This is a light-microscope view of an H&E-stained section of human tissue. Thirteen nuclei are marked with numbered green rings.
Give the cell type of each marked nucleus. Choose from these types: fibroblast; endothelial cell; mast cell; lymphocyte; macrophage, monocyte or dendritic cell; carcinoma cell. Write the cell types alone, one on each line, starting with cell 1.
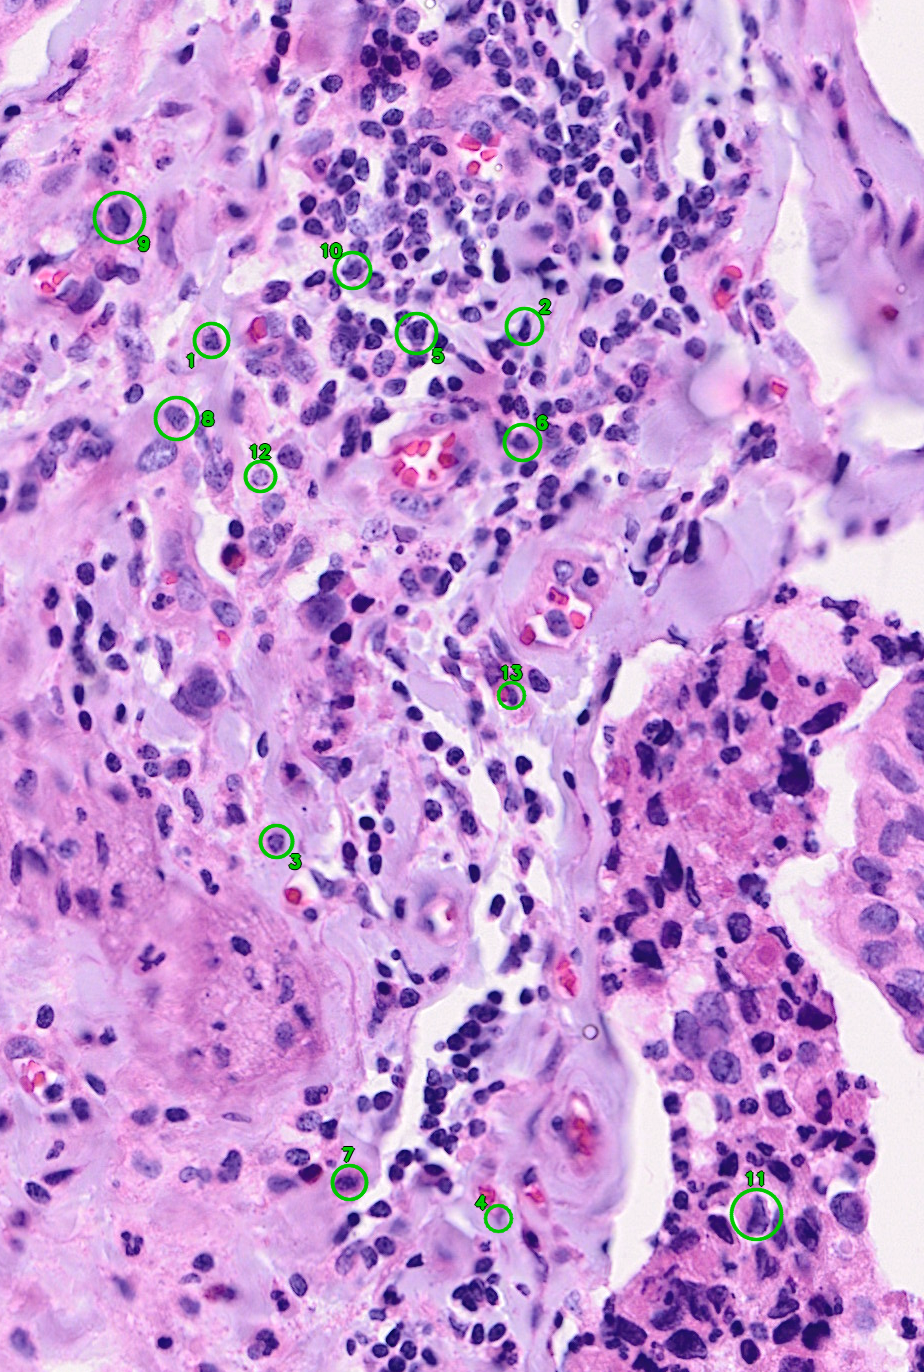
mast cell
lymphocyte
mast cell
endothelial cell
lymphocyte
lymphocyte
mast cell
mast cell
carcinoma cell
lymphocyte
carcinoma cell
macrophage, monocyte or dendritic cell
endothelial cell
